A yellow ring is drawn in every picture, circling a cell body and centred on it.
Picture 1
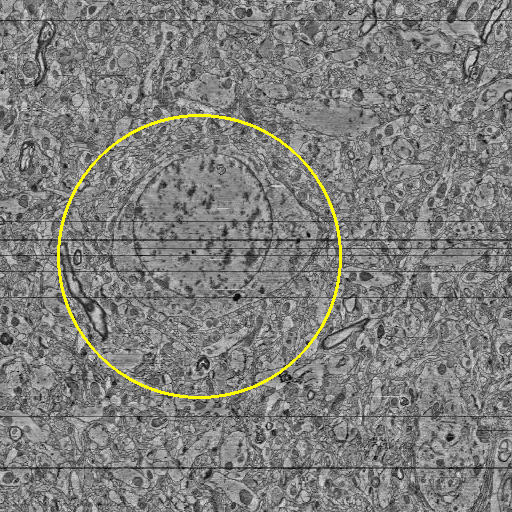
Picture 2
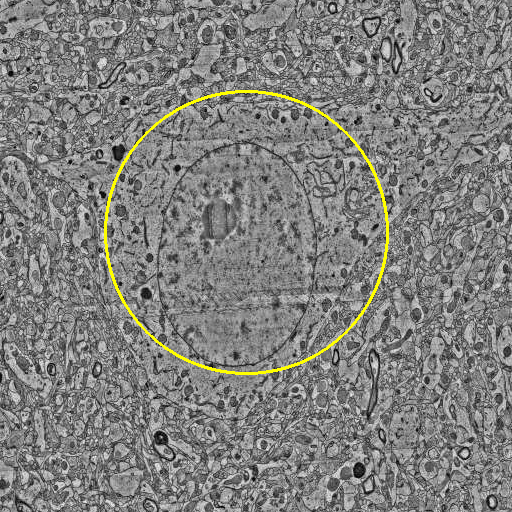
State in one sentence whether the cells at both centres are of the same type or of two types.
The cells at the two ring centres, one per picture, are of the same type.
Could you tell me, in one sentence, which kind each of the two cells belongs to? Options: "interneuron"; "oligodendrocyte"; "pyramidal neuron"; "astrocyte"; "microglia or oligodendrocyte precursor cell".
Each of the two rings surrounds a pyramidal neuron.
